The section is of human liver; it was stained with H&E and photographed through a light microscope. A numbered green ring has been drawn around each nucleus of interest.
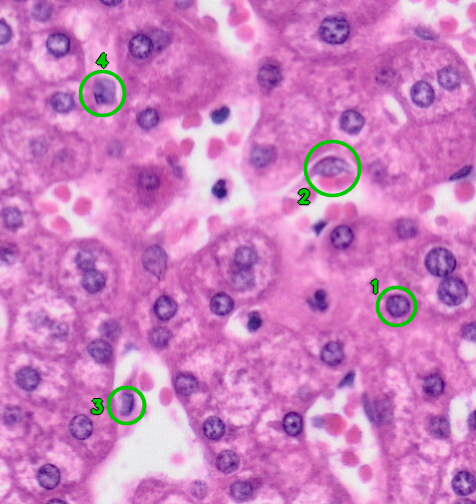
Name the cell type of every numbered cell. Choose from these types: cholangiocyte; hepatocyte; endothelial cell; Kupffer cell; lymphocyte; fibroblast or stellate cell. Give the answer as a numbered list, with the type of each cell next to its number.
1. hepatocyte
2. Kupffer cell
3. Kupffer cell
4. endothelial cell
